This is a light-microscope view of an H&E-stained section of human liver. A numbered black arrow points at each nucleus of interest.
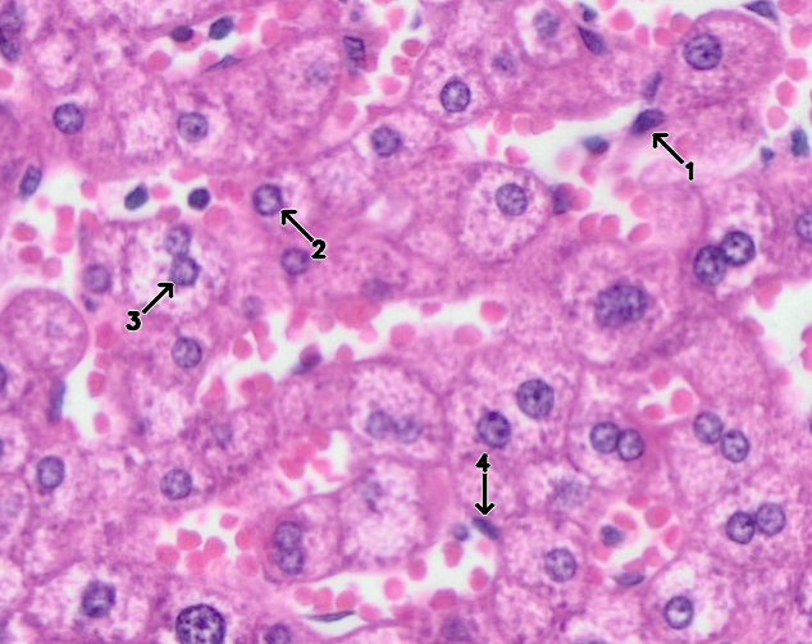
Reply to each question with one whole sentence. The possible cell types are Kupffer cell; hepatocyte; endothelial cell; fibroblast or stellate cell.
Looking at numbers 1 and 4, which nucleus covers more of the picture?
Number 1 is larger; its area is about 2 times that of number 4.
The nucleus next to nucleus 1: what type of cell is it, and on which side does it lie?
The nearest nucleus is that of a fibroblast or stellate cell and lies above nucleus 1.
